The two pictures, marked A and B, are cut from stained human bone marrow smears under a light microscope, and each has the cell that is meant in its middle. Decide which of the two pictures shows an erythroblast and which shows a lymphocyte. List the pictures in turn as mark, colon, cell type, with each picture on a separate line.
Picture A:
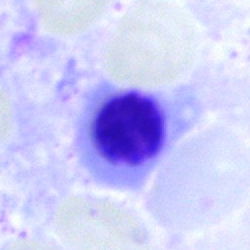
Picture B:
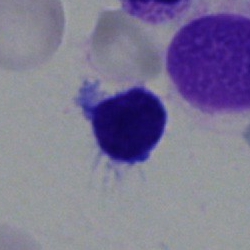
A: erythroblast
B: lymphocyte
